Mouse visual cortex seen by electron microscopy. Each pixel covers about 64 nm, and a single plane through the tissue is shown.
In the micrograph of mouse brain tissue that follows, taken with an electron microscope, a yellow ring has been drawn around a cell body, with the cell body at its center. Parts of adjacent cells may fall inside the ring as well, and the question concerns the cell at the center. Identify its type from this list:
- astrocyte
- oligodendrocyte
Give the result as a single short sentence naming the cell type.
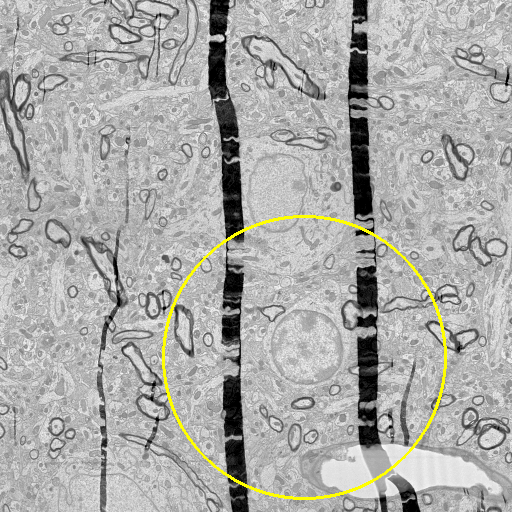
The ring is centered on an oligodendrocyte.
